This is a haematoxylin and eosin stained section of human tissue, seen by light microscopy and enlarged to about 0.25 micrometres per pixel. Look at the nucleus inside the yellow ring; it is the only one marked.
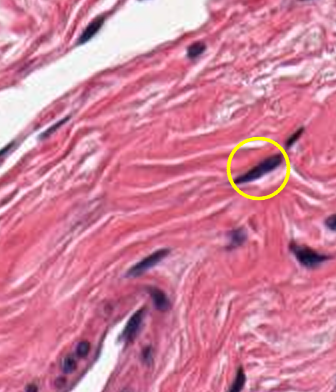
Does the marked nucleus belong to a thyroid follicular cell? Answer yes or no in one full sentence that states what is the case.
No, belonging to a supporting cell, the marked nucleus is not part of a thyroid follicular cell.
